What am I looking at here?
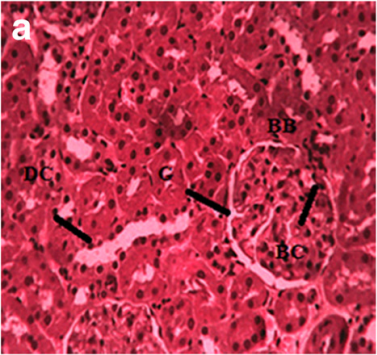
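Renal cortex is shown with a glomerulus inside Bowman's capsule at the right, surrounded by tightly packed convoluted tubules in pink-red stain. The glomerulus is a rounded tuft crowded with dark nuclei, separated from the capsule by a thin clear space. The tubules are lined by cuboidal cells with round dark nuclei and pink cytoplasm, and several tubule lumina appear as pale open channels. The tissue architecture looks orderly, with tubules closely abutting one another.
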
